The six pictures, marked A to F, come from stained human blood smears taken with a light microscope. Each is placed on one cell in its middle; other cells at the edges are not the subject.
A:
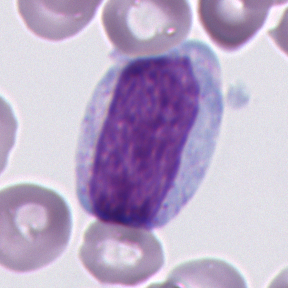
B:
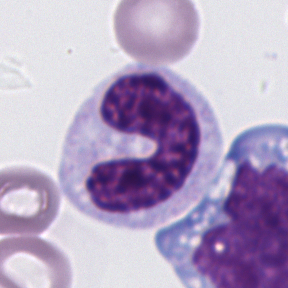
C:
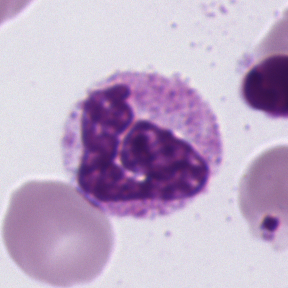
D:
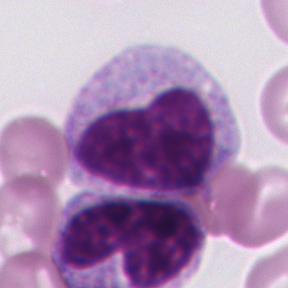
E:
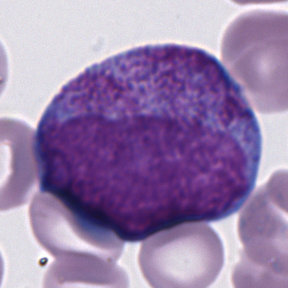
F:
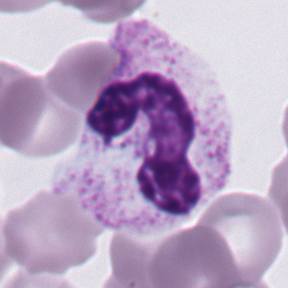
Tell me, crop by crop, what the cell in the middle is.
A: myelocyte
B: band neutrophil
C: segmented neutrophil
D: metamyelocyte
E: promyelocyte
F: segmented neutrophil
